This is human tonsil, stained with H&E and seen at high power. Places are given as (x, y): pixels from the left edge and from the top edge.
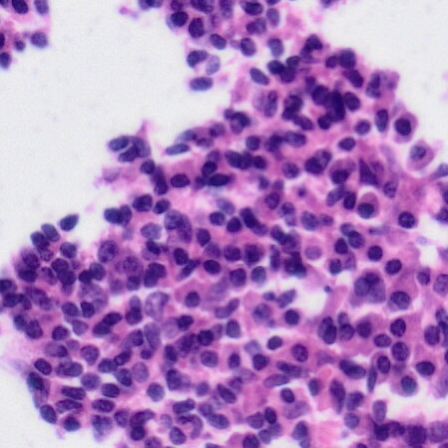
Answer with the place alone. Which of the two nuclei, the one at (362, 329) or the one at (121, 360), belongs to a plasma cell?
(362, 329)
